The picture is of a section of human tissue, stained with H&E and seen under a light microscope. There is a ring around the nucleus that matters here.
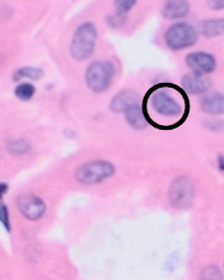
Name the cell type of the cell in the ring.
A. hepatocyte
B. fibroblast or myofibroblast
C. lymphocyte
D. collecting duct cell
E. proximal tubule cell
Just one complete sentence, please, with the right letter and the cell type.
The item is answered by option D: the cell in the ring is a collecting duct cell.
